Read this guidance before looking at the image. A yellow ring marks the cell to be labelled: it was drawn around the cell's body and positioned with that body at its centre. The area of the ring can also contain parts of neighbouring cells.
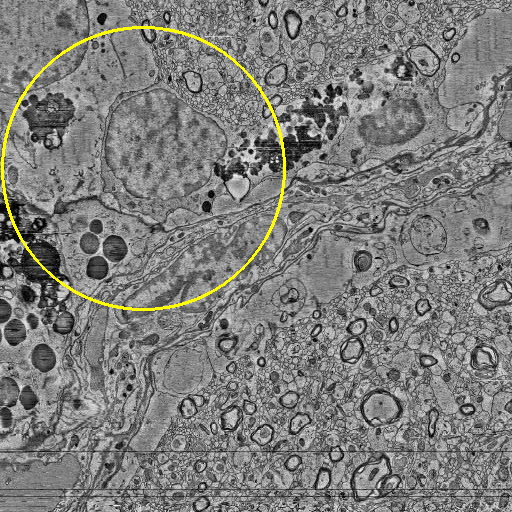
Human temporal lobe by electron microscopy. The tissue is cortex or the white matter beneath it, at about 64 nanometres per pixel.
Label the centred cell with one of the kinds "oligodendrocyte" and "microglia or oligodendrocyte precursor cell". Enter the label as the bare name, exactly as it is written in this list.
oligodendrocyte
